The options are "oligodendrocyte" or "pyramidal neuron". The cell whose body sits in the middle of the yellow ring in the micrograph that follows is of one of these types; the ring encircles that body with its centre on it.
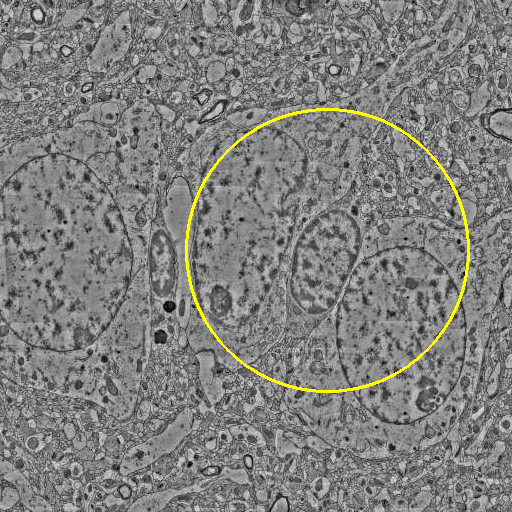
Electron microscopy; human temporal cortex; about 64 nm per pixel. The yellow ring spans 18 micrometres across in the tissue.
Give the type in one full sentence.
Going by the micrograph, the cell centred in the yellow ring is an oligodendrocyte.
